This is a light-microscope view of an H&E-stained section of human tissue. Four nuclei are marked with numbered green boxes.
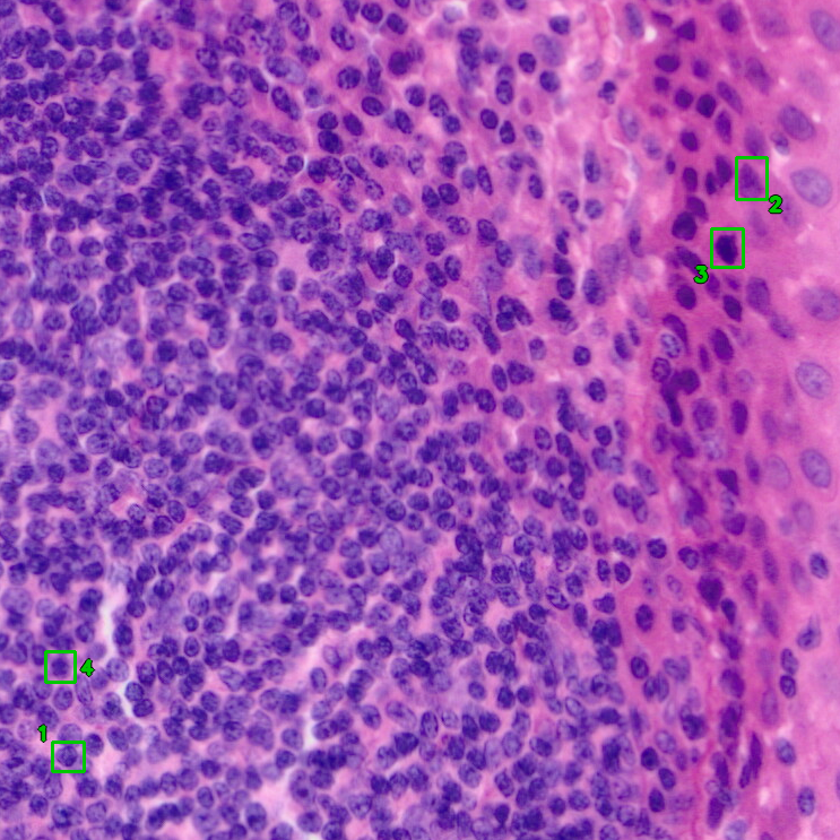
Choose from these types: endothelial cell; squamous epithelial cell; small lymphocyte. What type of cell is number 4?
small lymphocyte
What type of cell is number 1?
small lymphocyte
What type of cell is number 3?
squamous epithelial cell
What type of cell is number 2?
squamous epithelial cell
